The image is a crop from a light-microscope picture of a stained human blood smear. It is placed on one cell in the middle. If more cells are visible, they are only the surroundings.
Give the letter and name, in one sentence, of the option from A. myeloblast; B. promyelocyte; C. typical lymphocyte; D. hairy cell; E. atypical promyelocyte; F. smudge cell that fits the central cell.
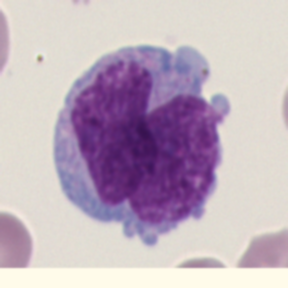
In the middle of the crop is an atypical promyelocyte; option E is therefore correct.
